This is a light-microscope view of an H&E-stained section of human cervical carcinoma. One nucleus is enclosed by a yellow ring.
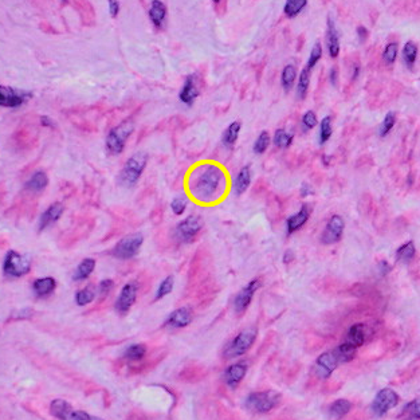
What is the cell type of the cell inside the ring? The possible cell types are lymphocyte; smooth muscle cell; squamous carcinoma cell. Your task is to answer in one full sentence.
In short, the cell inside the ring on this section is a smooth muscle cell.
